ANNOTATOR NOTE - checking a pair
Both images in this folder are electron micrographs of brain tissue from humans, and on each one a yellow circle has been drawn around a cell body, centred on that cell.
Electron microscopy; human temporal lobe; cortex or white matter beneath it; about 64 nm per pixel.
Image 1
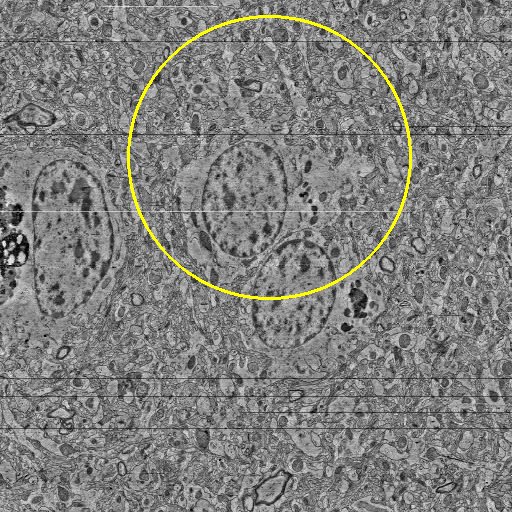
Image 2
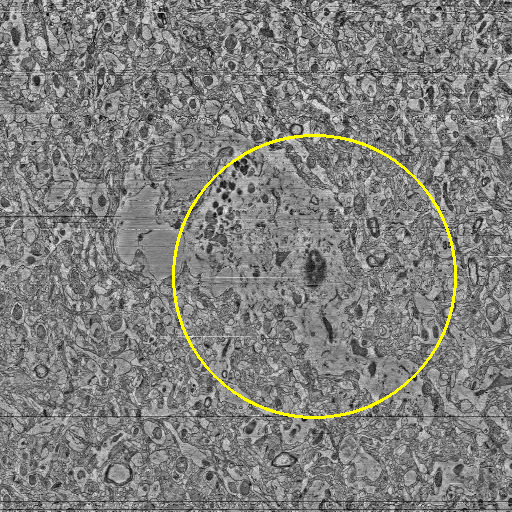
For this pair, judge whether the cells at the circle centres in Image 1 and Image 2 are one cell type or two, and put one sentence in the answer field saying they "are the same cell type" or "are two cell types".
For this pair, the cells at the circle centres in Images 1 and 2 are the same cell type.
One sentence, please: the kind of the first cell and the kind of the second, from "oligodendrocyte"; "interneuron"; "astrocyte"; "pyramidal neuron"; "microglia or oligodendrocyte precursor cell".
Each one of the two ringed cells is an astrocyte.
